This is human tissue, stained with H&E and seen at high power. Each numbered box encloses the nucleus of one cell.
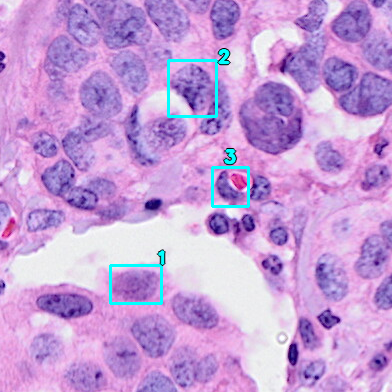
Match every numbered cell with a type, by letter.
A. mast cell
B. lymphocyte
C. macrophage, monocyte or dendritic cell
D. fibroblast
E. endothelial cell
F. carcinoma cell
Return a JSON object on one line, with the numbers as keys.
{"1": "F", "2": "F", "3": "E"}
